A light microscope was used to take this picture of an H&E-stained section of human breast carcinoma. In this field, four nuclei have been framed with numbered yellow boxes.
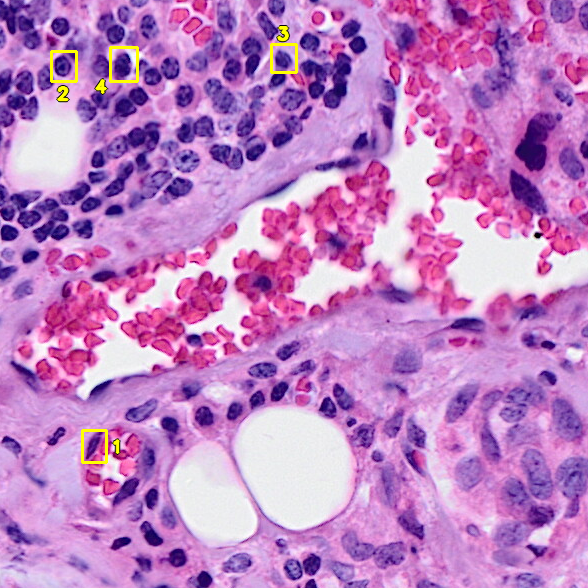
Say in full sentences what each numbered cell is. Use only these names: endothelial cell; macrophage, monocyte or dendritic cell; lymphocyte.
Cell 1 is an endothelial cell, cell 2 is a lymphocyte, cell 3 is a lymphocyte and cell 4 is a lymphocyte.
